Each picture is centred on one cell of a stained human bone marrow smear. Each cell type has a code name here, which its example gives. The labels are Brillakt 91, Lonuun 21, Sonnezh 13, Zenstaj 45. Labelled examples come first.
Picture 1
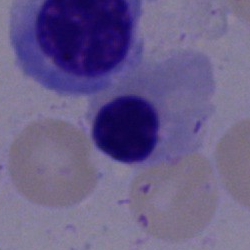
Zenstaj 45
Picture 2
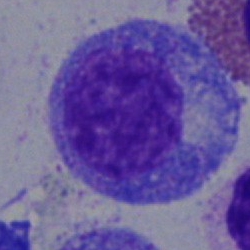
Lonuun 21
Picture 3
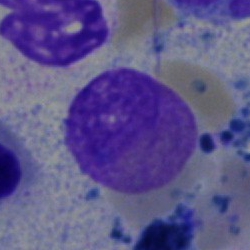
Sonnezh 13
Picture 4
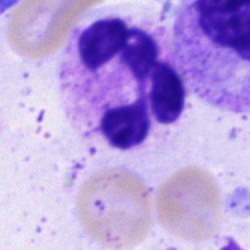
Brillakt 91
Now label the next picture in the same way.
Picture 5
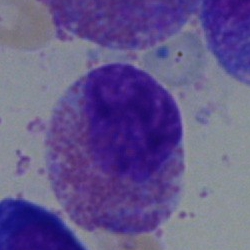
Sonnezh 13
